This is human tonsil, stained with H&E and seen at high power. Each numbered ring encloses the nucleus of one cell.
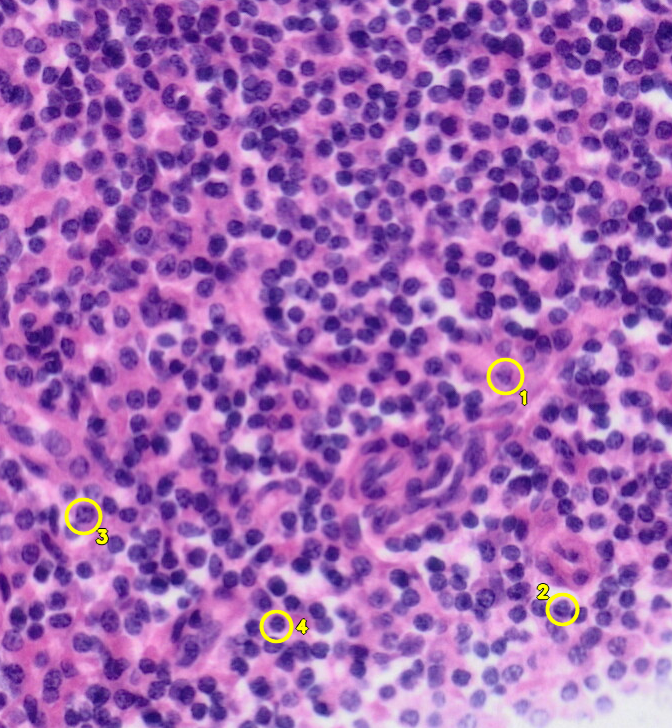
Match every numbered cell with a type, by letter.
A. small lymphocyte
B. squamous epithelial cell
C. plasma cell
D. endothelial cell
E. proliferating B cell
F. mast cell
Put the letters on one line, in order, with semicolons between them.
D; A; C; A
